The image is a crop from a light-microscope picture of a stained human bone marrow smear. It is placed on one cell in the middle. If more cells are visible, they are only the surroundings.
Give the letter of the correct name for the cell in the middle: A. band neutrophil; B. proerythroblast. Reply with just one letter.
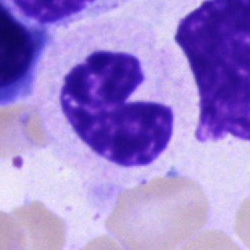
A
